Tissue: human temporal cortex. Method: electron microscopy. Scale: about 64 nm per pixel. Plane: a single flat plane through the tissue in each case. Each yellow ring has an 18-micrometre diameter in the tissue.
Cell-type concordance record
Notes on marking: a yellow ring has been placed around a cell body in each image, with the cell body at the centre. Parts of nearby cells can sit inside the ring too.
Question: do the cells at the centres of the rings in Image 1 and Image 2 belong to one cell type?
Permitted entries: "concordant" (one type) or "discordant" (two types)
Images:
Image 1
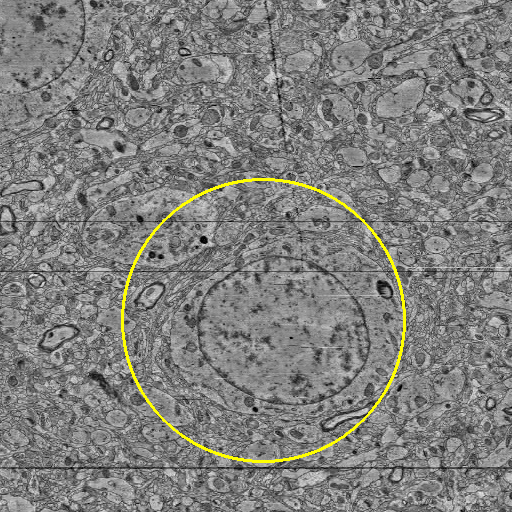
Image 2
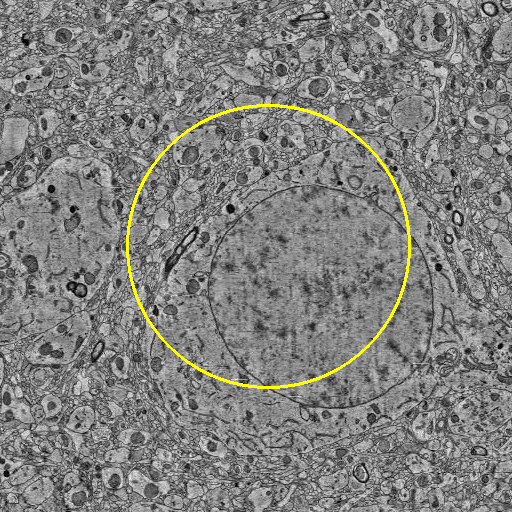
concordant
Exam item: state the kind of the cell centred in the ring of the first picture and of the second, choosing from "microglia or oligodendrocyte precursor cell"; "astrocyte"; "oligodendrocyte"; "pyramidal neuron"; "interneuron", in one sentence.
Each cell at the centre of a ring is a pyramidal neuron.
